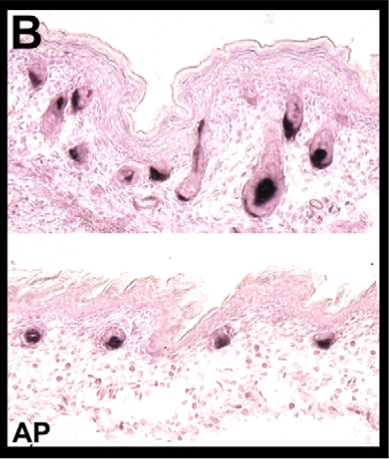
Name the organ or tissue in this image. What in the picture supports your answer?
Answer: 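Skin. A layered surface covering runs along the top of each section. Loose connective tissue with scattered nuclei lies below it. Dark-stained rounded or elongated structures sit in the tissue under the surface layer.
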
